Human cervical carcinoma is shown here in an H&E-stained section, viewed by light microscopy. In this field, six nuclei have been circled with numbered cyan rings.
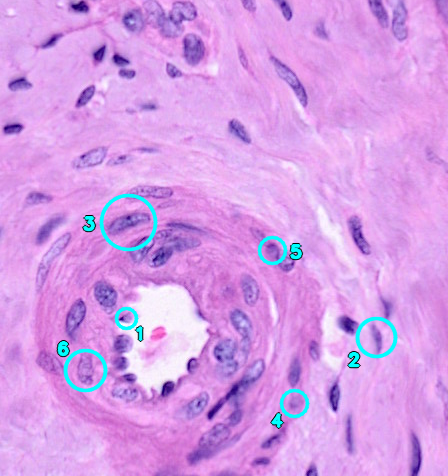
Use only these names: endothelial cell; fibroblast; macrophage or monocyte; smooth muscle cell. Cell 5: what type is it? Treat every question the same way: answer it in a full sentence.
The cell tagged with 5 in this tissue section is a smooth muscle cell.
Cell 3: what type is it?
What the number 3 marks in this field is a smooth muscle cell.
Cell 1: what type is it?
The one numbered 1 among the marked cells is an endothelial cell.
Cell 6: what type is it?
Here, the cell given the number 6 is a smooth muscle cell.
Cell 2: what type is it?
To a fibroblast belongs the nucleus marked 2.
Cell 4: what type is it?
As for number 4, that cell is a smooth muscle cell.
